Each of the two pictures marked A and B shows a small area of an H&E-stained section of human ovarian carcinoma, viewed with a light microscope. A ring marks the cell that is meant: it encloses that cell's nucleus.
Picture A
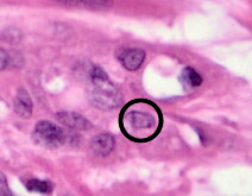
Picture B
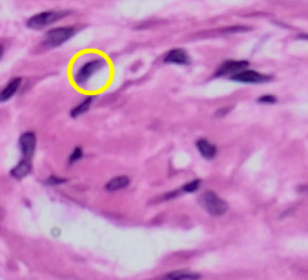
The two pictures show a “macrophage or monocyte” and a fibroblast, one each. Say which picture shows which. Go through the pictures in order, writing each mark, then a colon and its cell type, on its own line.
A: macrophage or monocyte
B: fibroblast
